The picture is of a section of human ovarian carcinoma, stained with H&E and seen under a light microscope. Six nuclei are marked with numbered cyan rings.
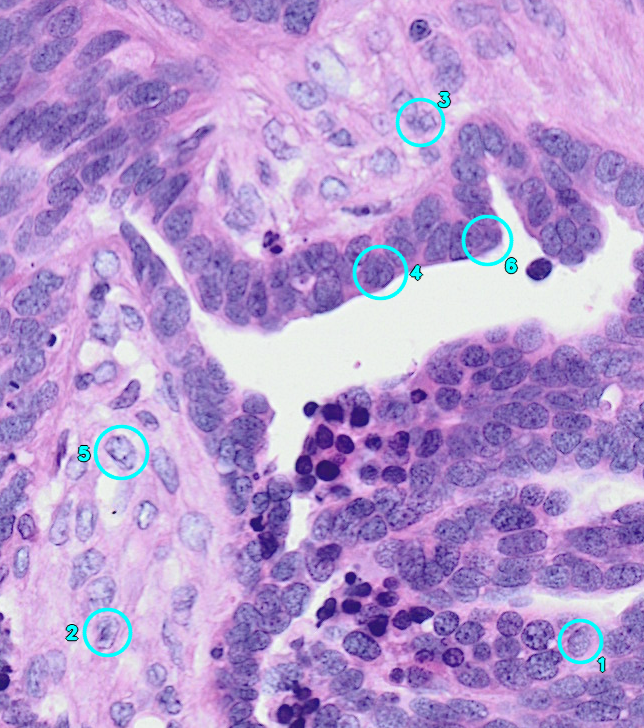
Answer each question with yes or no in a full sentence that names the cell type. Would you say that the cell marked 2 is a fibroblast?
Yes, the cell to which number 2 refers is a fibroblast.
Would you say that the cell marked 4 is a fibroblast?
No, cell 4 is to be classed as a carcinoma cell, not a fibroblast.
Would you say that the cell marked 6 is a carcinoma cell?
Yes, cell number 6 in this section is a carcinoma cell.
